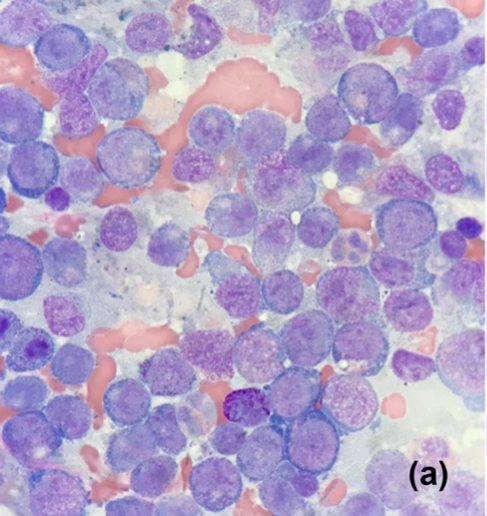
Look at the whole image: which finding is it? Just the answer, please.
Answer: hypercellular marrow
